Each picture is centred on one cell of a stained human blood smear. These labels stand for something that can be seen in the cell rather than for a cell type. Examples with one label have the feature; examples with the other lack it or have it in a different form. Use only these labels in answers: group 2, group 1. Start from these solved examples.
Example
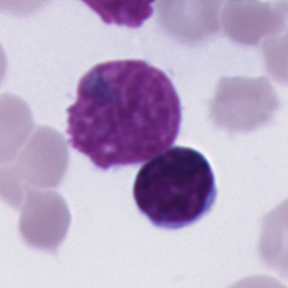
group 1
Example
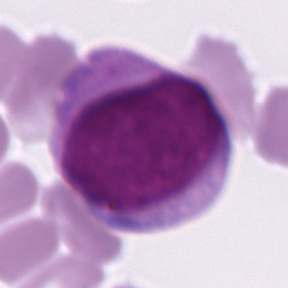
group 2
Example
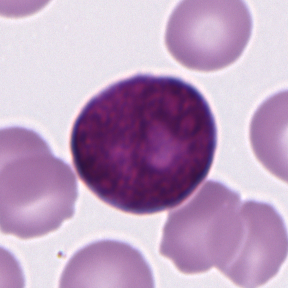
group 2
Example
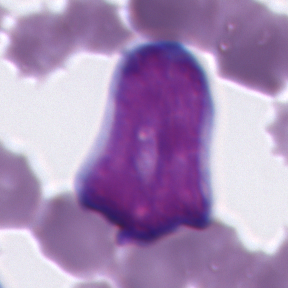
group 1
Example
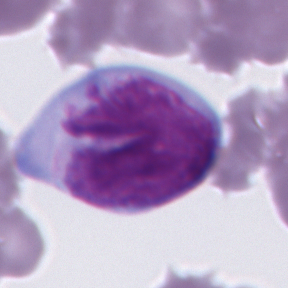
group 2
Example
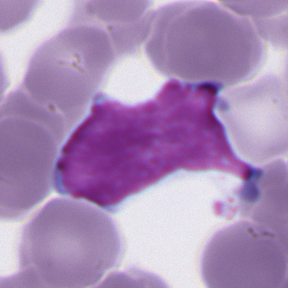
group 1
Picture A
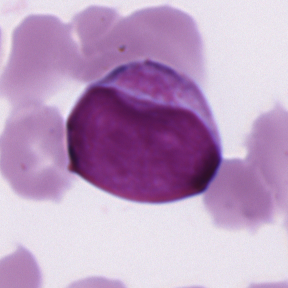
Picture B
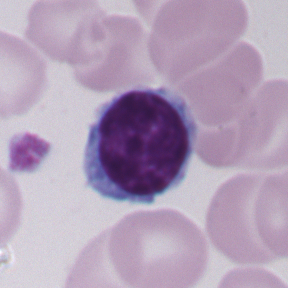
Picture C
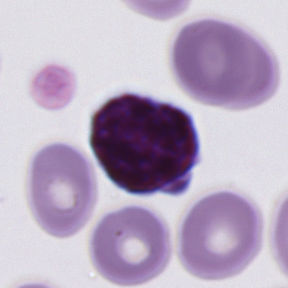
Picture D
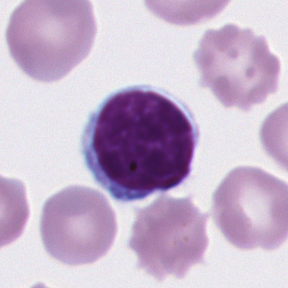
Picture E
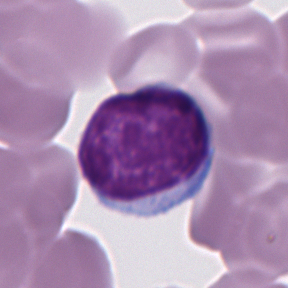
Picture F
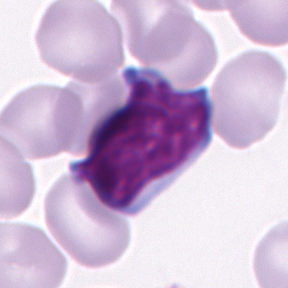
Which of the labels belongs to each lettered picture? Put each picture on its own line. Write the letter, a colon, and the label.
A: group 2
B: group 1
C: group 1
D: group 2
E: group 2
F: group 1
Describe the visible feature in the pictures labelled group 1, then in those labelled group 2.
In group 1: ragged outline or projections. In group 2: smooth outline.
